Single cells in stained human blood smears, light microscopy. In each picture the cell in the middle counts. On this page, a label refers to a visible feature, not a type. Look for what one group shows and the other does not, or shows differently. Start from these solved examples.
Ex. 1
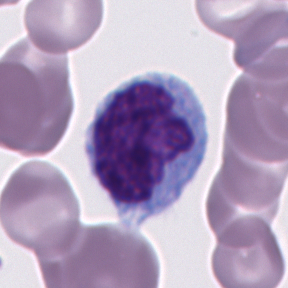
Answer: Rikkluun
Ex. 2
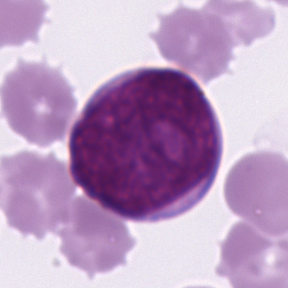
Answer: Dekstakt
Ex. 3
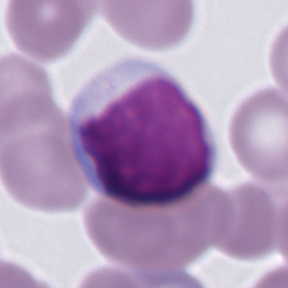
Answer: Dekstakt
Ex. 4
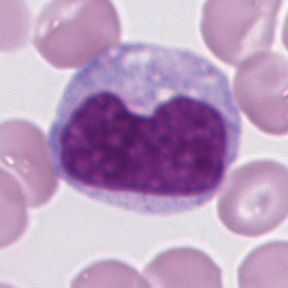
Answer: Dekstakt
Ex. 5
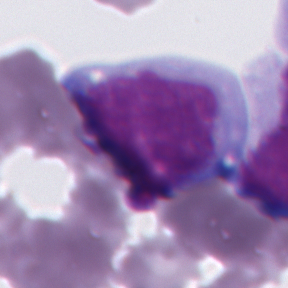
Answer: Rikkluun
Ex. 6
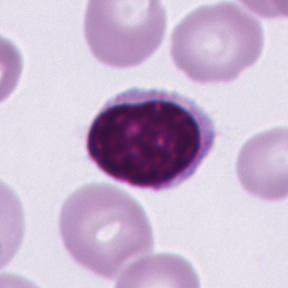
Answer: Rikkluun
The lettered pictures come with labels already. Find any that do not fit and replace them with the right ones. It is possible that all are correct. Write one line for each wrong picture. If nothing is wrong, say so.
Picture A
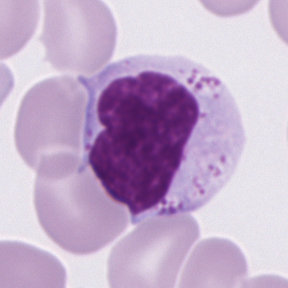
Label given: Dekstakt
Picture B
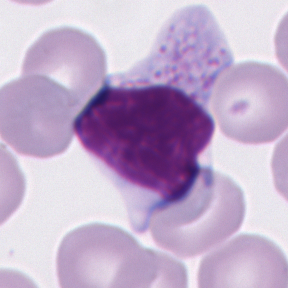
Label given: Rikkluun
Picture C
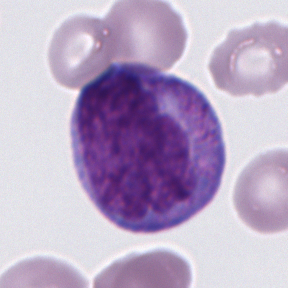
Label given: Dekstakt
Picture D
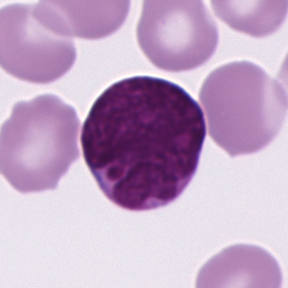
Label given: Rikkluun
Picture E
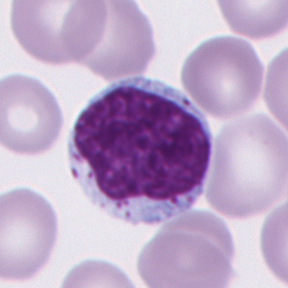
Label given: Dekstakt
D should be Dekstakt, not Rikkluun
